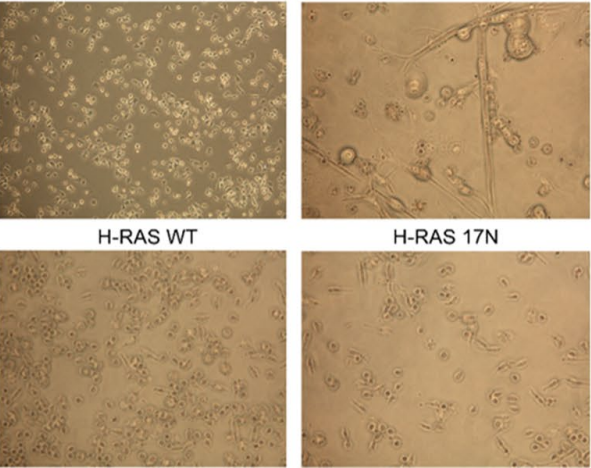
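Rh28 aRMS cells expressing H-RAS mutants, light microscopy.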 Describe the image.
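In one field the cells are sparser, and long, thin, fibre-like cells stretch across the field, with a few larger rounded cells lying along them. This elongated form is reminiscent of differentiating muscle fibres.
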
